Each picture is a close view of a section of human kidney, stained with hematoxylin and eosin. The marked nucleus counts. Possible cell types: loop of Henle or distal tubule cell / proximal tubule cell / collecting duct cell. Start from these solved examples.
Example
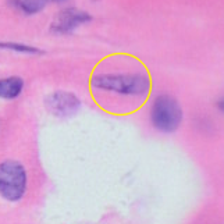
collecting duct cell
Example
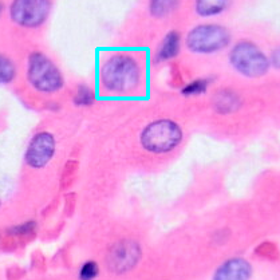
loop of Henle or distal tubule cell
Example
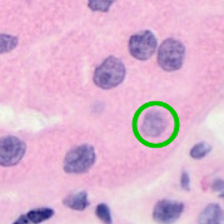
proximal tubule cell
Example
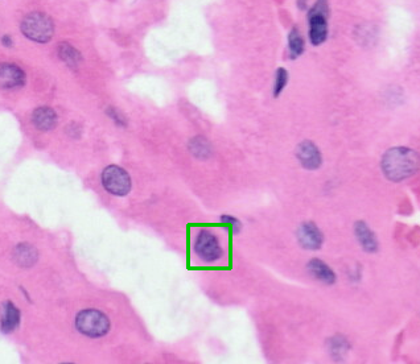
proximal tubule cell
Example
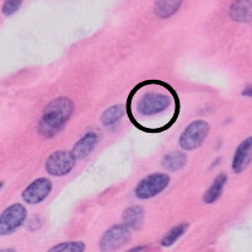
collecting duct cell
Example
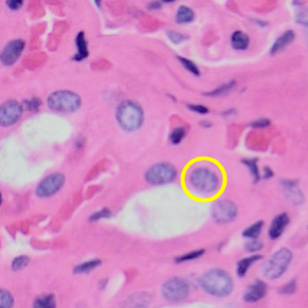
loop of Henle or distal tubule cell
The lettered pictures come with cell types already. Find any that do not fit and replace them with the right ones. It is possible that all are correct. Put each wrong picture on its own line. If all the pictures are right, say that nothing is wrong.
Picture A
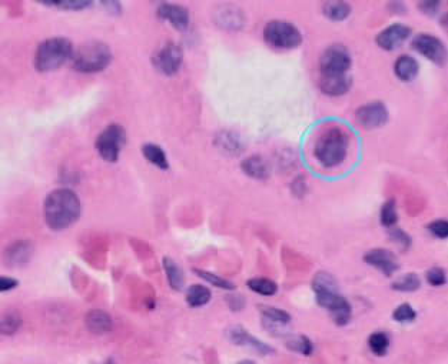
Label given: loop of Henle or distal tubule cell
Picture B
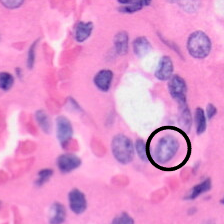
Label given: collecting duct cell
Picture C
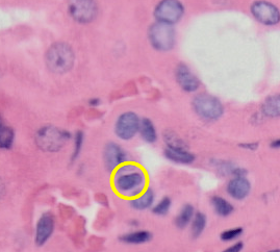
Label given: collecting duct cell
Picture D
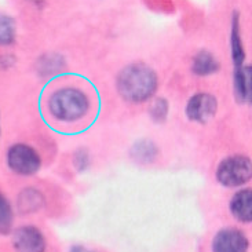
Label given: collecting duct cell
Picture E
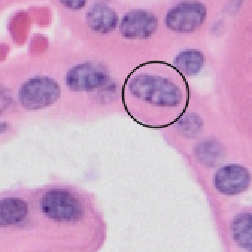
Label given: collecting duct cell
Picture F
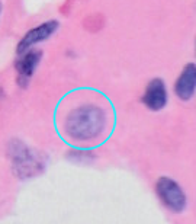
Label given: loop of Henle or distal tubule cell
D: change collecting duct cell to loop of Henle or distal tubule cell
